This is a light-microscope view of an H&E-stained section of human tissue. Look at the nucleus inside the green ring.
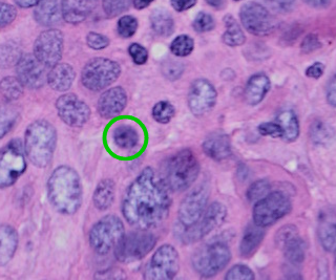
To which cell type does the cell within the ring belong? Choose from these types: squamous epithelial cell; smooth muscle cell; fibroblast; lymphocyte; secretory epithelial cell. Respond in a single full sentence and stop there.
With respect to cell type, the cell within the ring is a lymphocyte.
